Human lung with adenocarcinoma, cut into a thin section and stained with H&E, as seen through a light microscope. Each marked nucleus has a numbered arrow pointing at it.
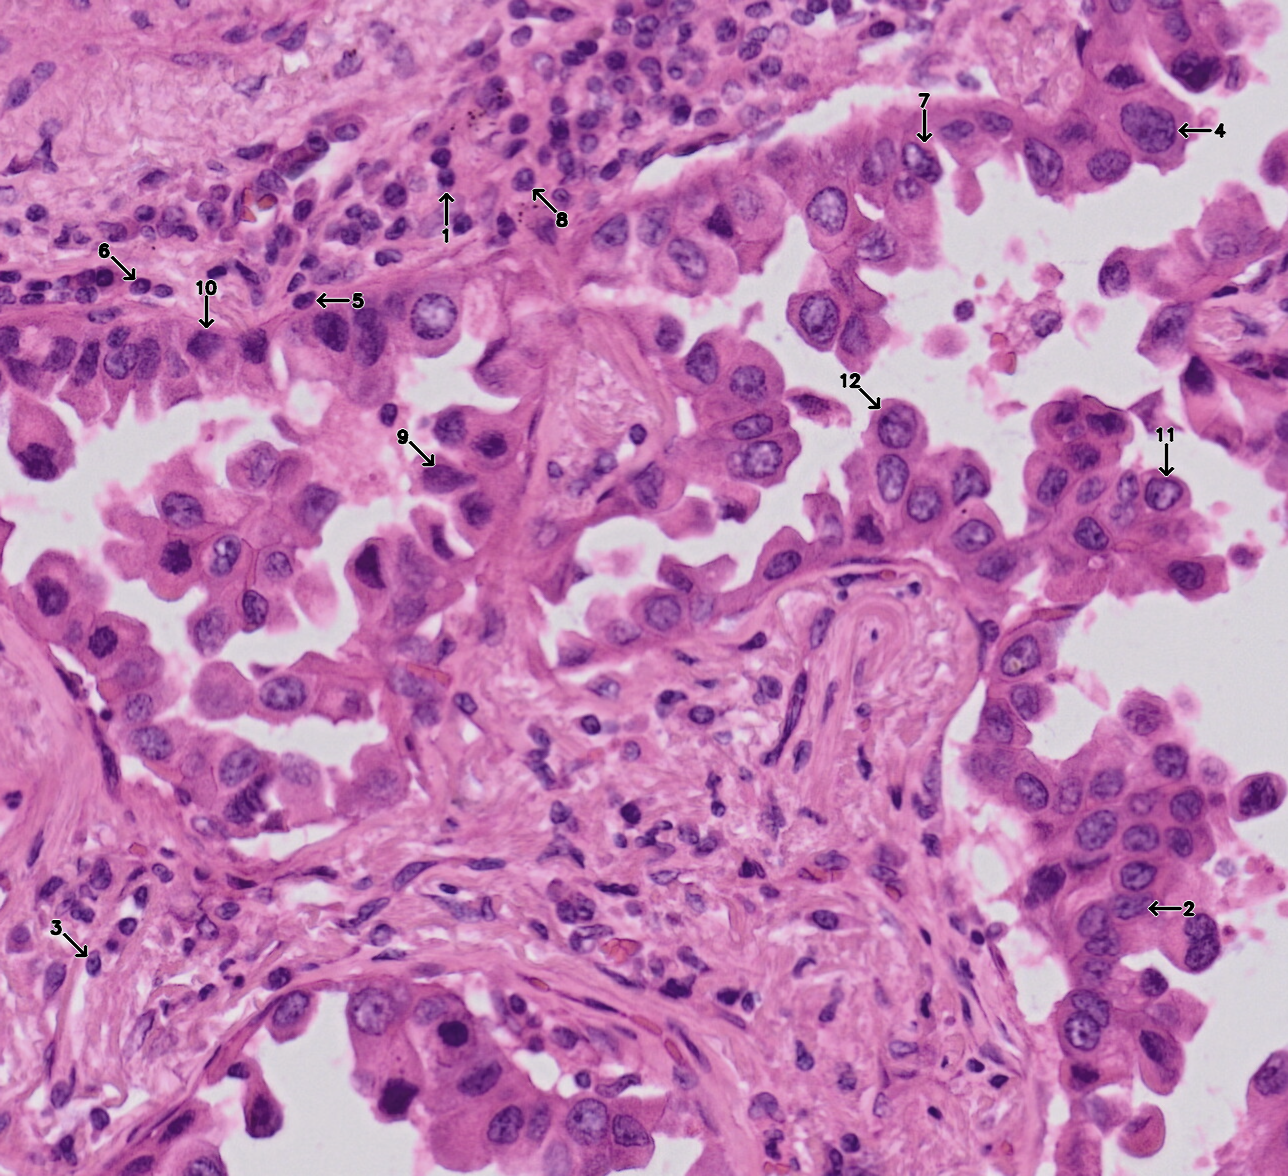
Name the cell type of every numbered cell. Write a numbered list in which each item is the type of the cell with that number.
1. lymphocyte
2. carcinoma cell
3. lymphocyte
4. carcinoma cell
5. lymphocyte
6. lymphocyte
7. carcinoma cell
8. lymphocyte
9. carcinoma cell
10. carcinoma cell
11. carcinoma cell
12. carcinoma cell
